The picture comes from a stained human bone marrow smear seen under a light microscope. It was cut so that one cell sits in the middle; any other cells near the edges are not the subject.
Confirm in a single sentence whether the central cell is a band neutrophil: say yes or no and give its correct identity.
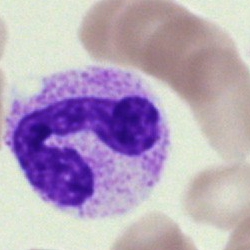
Yes, the middle cell of the field is a band neutrophil.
